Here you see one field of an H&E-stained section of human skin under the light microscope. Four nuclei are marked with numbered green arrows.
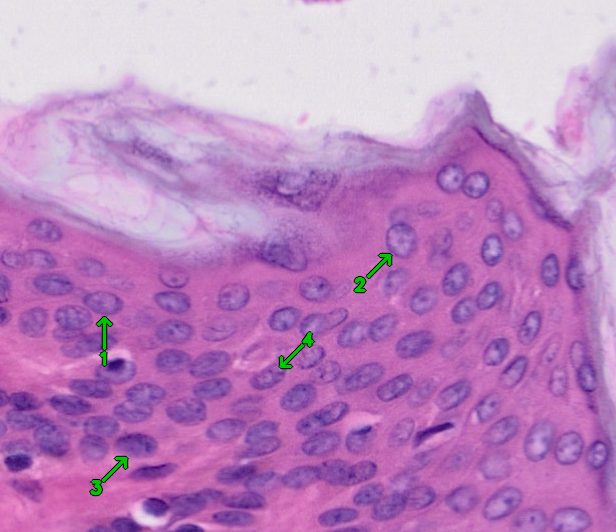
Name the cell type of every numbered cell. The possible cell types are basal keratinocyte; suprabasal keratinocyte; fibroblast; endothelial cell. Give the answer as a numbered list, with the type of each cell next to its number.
1. suprabasal keratinocyte
2. suprabasal keratinocyte
3. basal keratinocyte
4. suprabasal keratinocyte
